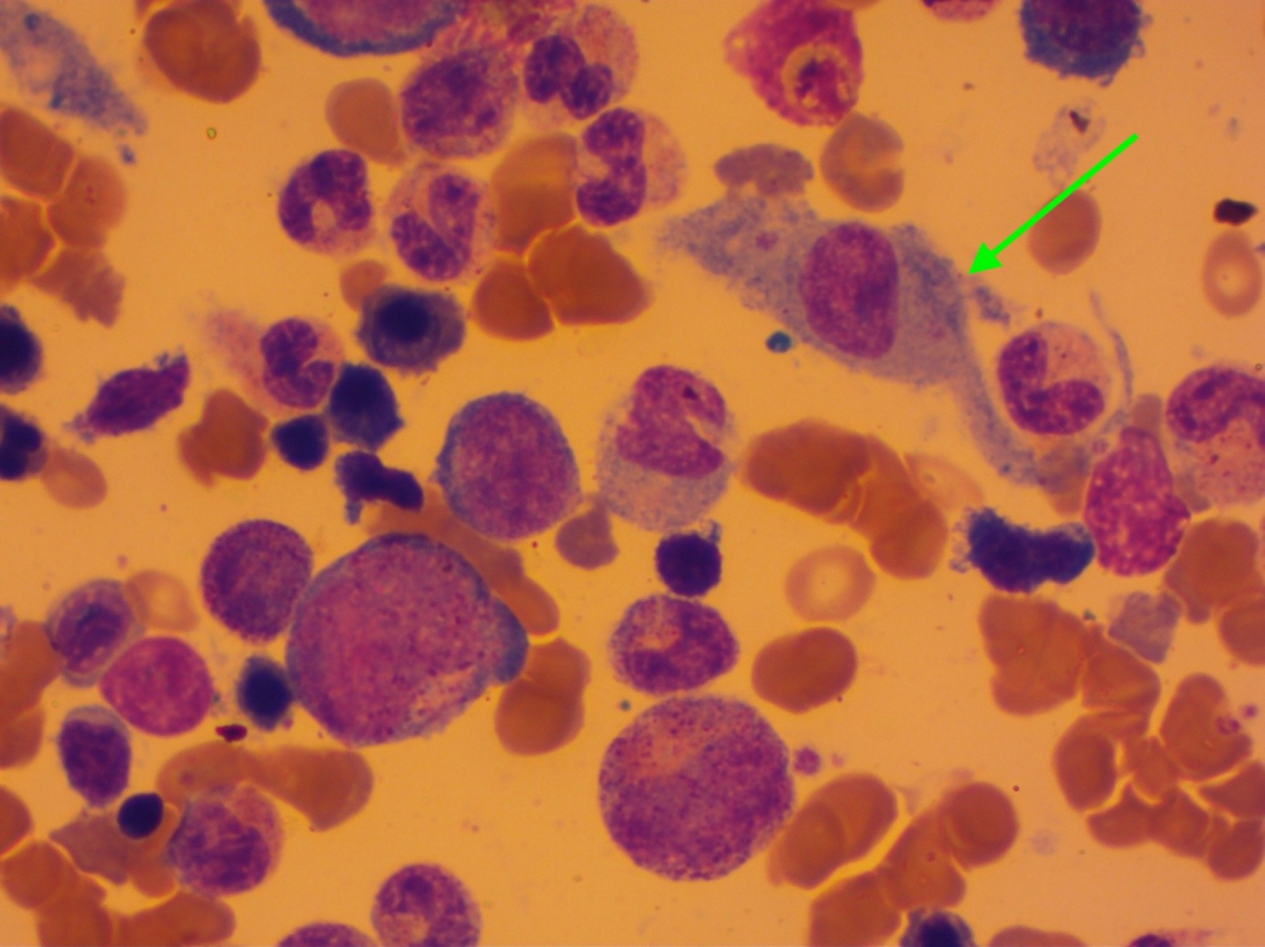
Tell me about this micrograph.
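This is a smear of marrow fluid crowded with blood-forming cells, and one large macrophage stands out in the upper right. It is a big cell with a wide, pale blue, finely granular cytoplasm whose edge is irregular and frayed, spreading out between its neighbours. Its single oval nucleus is purple with fine chromatin. Around it lie many smaller cells. Some have kidney-shaped or horseshoe-shaped purple nuclei with lilac cytoplasm. Others are small and round, with very dark, dense nuclei. Several larger round cells with speckled nuclei are also present. Orange-brown red blood cells fill the spaces between the nucleated cells.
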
